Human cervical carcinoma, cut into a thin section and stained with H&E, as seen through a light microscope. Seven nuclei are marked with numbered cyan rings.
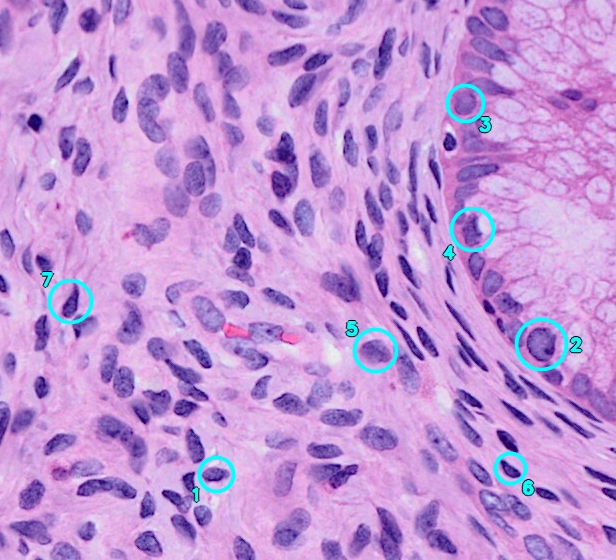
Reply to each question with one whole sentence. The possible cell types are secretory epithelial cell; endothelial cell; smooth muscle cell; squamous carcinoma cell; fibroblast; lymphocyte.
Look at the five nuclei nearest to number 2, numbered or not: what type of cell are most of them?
Most of the five nuclei nearest to number 2 are those of secretory epithelial cells.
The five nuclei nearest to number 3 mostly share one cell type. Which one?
Most of the five nuclei nearest to number 3 are those of secretory epithelial cells.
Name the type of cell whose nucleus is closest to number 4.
Closest to number 4 lies the nucleus of a secretory epithelial cell.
